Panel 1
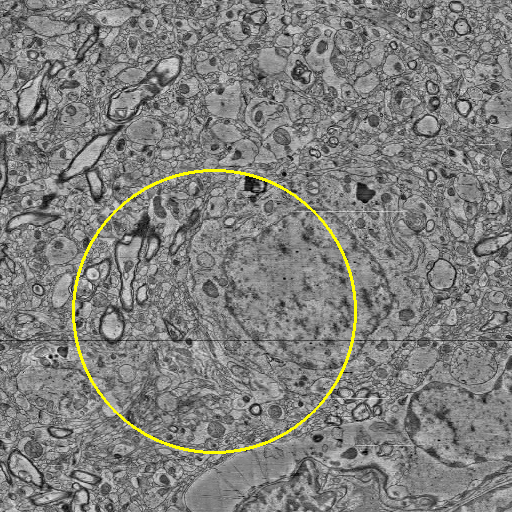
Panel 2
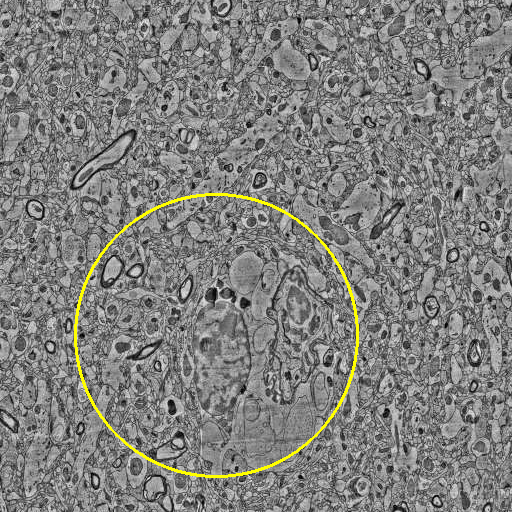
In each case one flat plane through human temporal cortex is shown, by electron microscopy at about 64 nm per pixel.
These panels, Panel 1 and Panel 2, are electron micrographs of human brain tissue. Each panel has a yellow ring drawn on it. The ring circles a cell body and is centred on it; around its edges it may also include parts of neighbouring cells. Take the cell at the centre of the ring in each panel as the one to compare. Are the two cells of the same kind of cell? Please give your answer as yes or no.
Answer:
yes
